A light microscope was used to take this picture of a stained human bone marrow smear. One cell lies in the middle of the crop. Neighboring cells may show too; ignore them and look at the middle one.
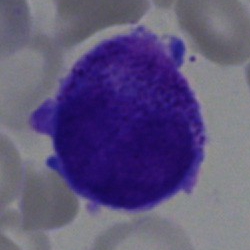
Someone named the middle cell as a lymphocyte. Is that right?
no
